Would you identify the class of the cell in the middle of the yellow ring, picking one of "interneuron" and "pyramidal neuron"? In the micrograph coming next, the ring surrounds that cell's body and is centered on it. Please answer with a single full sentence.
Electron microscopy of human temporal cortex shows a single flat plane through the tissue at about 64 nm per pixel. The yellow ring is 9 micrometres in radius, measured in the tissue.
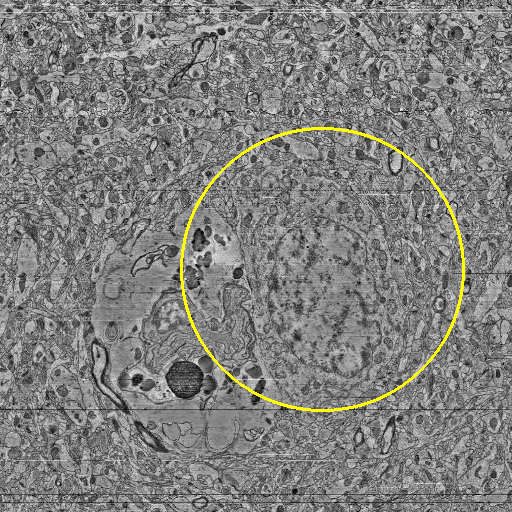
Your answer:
In the micrograph, it is an interneuron whose body lies at the ring's center.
